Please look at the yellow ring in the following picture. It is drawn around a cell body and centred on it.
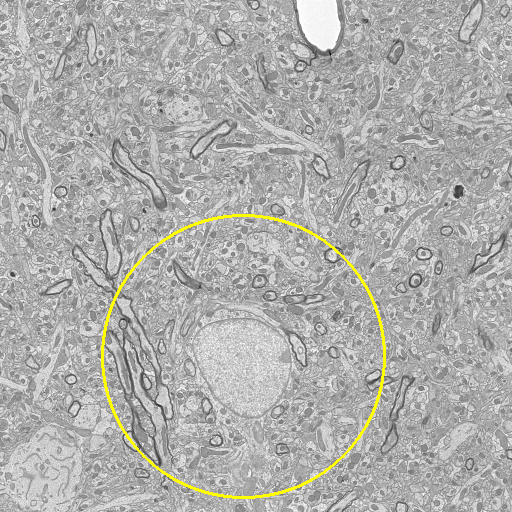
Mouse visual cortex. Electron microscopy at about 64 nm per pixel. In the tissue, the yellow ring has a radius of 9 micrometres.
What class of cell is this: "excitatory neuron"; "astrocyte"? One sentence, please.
The ring surrounds the cell body of an astrocyte.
